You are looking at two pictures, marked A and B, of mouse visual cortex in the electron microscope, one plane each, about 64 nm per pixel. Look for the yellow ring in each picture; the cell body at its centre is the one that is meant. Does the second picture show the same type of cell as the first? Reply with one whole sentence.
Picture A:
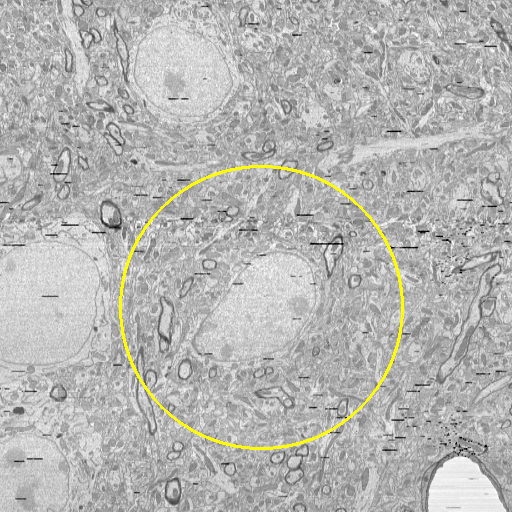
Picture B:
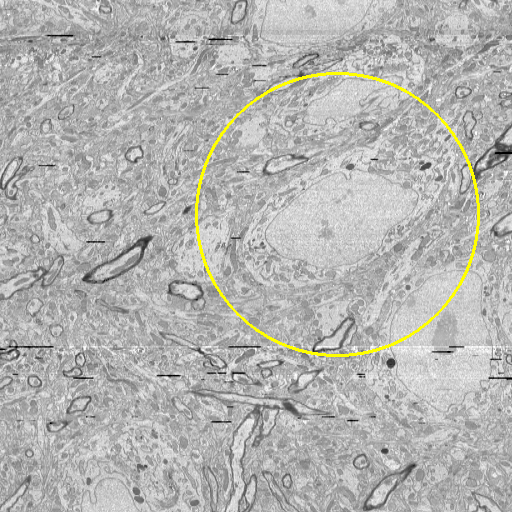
No; the cell in picture A is an astrocyte, while the one in picture B is an inhibitory neuron.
